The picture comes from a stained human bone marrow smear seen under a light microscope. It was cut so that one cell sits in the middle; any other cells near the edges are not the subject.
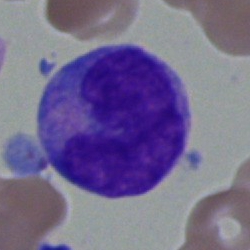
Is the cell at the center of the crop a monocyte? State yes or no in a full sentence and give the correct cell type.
Yes, the cell in the center of this crop is a monocyte.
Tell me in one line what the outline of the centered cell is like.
The membrane contour is even and smooth, with nothing projecting from it.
